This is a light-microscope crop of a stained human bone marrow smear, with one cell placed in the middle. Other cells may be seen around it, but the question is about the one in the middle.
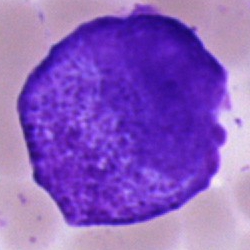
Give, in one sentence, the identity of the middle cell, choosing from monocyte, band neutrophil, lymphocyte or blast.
At the middle of the frame sits a blast.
